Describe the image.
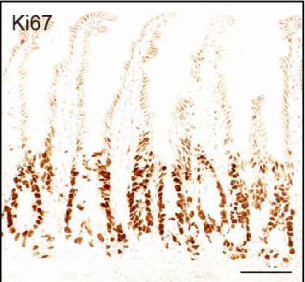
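This is a section through small intestine showing tall villi above and a dense row of crypts below. In the lower part, nearly every nucleus lining the crypts is stained dark brown, so the crypts stand out as dark tubular loops. The villi are slender and closely set, each covered by a single layer of columnar cells.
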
